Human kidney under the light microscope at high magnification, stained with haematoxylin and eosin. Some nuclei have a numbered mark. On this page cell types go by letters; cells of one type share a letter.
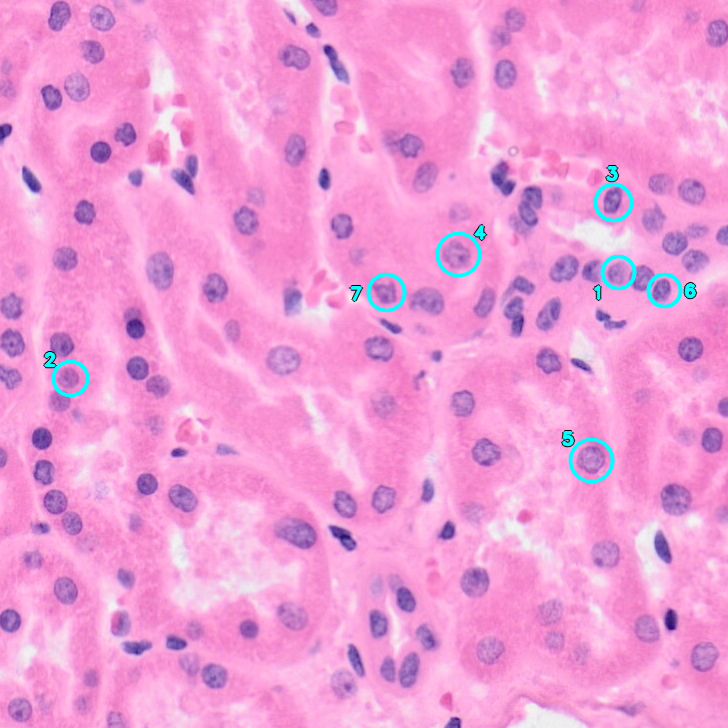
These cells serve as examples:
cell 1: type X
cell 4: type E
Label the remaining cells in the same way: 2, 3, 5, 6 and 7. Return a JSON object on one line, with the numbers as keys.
{"2": "type E", "3": "type X", "5": "type E", "6": "type X", "7": "type E"}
